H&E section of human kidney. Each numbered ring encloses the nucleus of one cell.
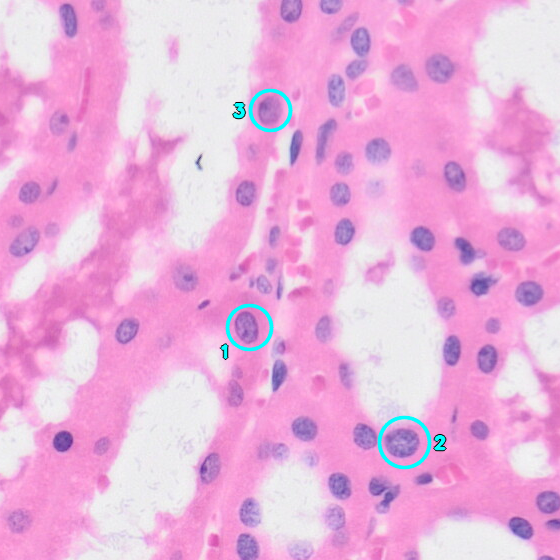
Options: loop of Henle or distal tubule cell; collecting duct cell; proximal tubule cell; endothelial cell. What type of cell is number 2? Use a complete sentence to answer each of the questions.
To a loop of Henle or distal tubule cell belongs the nucleus marked 2.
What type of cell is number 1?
The cell pointed out by number 1 is a proximal tubule cell.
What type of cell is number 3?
In this section, the cell numbered 3 is a proximal tubule cell.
